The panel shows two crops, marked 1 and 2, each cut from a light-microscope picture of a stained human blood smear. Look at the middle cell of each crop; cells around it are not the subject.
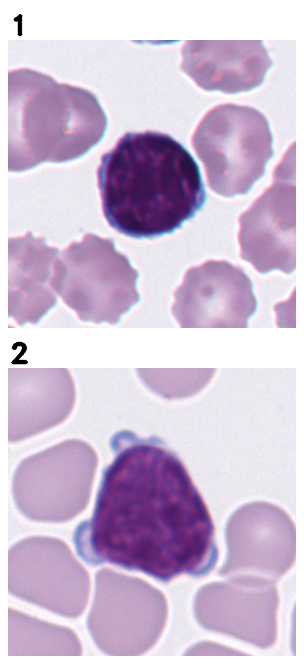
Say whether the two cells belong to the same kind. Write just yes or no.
yes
